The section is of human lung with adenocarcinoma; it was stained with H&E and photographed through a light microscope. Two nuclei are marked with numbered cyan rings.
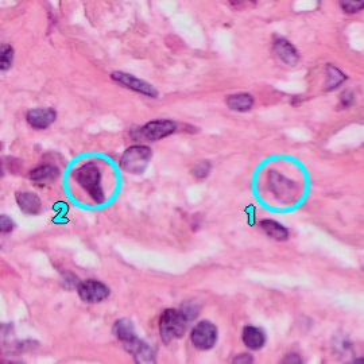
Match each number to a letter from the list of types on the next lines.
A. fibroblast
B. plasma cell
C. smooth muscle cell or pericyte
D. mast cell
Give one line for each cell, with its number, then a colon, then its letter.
1: A
2: B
